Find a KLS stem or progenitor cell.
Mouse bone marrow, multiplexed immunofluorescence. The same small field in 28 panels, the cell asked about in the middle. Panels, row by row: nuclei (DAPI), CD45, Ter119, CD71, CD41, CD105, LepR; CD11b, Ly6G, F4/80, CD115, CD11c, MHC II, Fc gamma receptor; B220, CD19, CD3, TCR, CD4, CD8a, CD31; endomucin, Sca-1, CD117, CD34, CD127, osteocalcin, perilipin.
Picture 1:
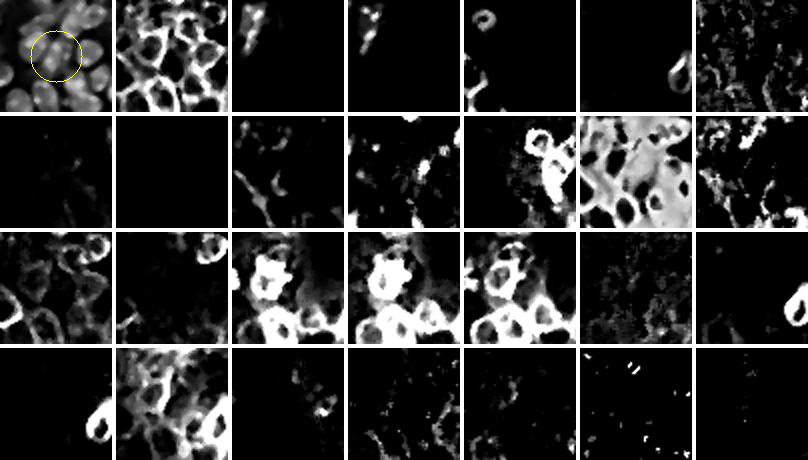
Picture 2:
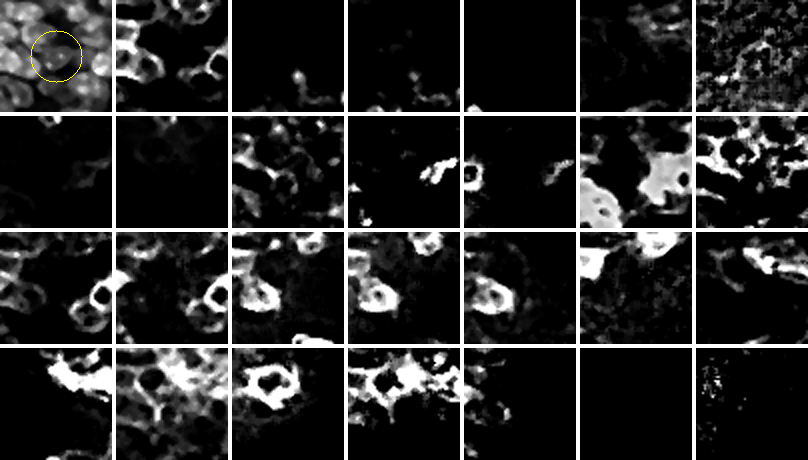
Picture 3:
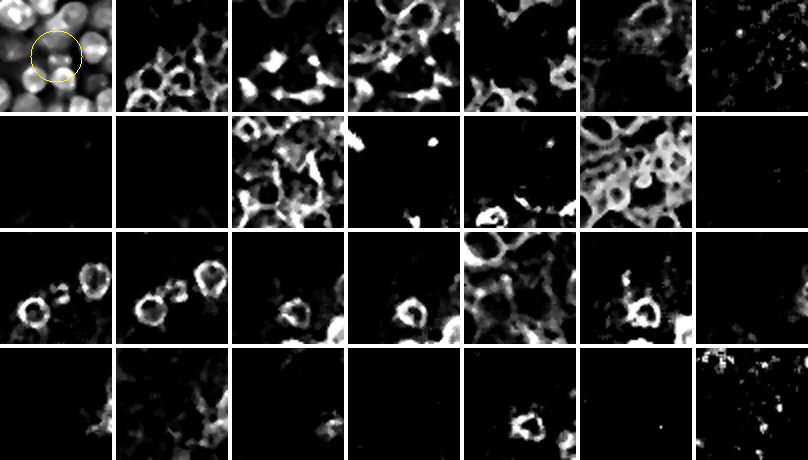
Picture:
2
